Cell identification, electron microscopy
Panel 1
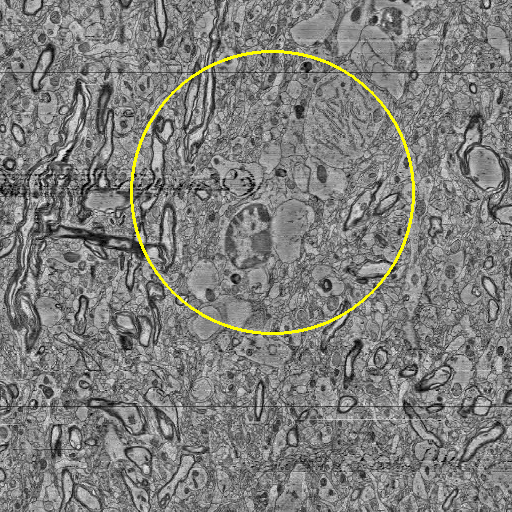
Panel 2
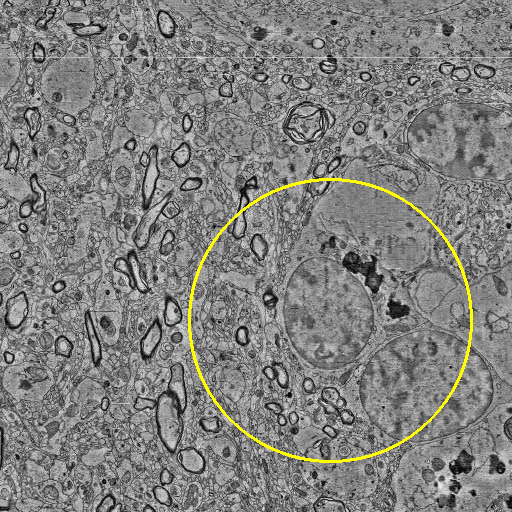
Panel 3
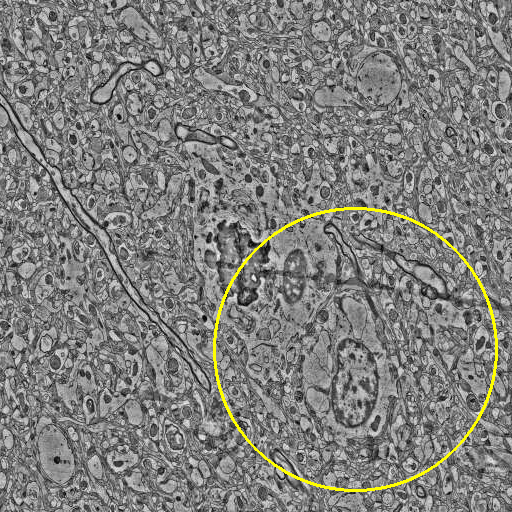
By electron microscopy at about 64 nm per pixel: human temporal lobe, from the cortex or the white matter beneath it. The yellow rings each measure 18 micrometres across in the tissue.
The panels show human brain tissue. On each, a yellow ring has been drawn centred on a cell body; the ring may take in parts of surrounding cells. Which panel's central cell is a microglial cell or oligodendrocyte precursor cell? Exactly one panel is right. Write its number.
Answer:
1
